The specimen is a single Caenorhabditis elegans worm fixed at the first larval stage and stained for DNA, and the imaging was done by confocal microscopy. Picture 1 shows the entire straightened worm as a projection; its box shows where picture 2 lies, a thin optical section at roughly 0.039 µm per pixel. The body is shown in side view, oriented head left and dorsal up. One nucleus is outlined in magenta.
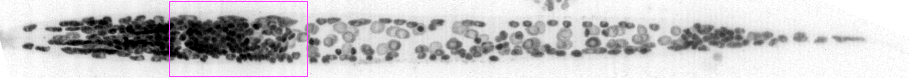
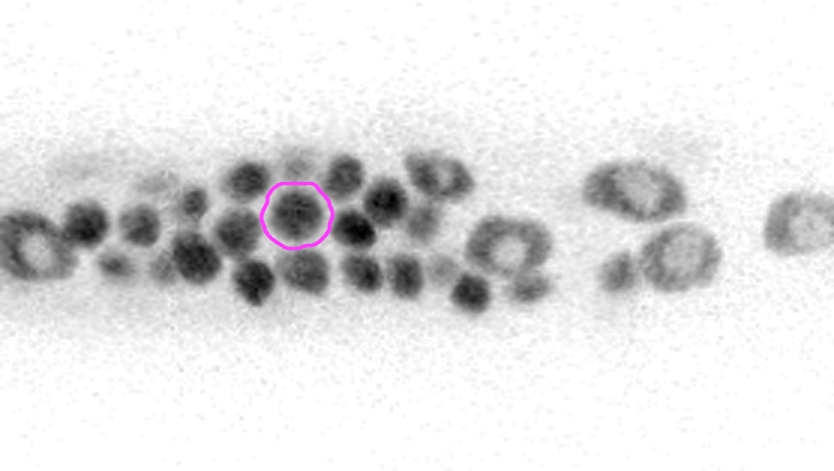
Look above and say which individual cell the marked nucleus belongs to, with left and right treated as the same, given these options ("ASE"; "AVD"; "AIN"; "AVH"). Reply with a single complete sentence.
The marked cell is ASE, a neuron.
